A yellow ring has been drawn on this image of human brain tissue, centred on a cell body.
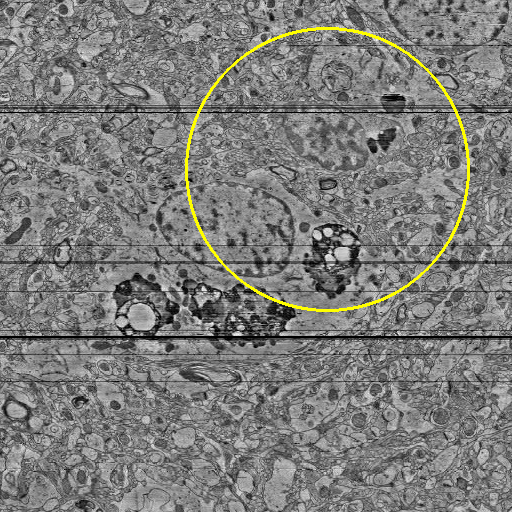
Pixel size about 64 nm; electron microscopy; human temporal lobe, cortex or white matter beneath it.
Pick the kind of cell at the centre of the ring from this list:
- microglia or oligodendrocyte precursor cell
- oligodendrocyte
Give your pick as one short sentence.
The centre of the ring holds an oligodendrocyte.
